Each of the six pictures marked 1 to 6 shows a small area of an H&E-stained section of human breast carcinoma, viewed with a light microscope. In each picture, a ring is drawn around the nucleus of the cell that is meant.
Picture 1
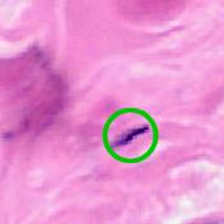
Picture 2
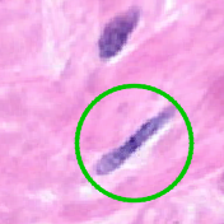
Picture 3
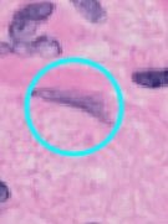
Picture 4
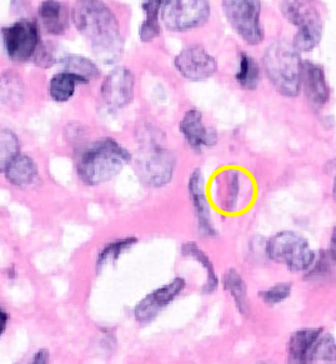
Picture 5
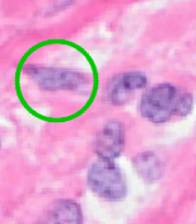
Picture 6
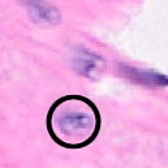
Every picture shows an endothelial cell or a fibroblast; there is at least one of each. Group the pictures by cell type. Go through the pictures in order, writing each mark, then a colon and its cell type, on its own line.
1: fibroblast
2: fibroblast
3: fibroblast
4: endothelial cell
5: fibroblast
6: endothelial cell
